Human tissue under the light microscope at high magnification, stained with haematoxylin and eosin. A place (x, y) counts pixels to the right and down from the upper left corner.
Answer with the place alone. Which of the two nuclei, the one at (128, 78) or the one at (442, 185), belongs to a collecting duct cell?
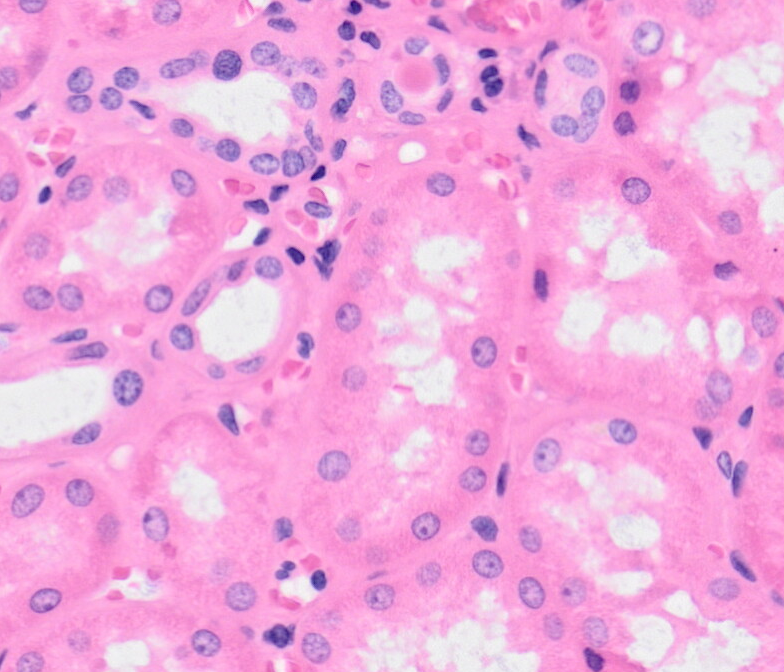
(128, 78)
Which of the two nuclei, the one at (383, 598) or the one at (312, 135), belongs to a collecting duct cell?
(312, 135)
